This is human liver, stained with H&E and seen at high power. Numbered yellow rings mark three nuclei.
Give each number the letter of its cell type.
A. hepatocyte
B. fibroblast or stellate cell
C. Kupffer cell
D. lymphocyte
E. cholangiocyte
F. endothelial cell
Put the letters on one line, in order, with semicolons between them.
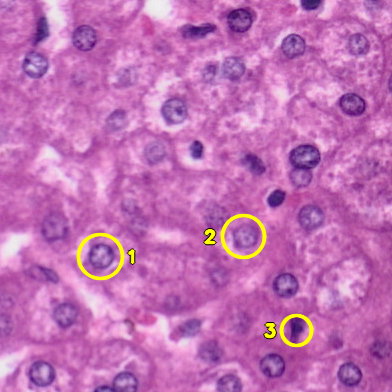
A; A; B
